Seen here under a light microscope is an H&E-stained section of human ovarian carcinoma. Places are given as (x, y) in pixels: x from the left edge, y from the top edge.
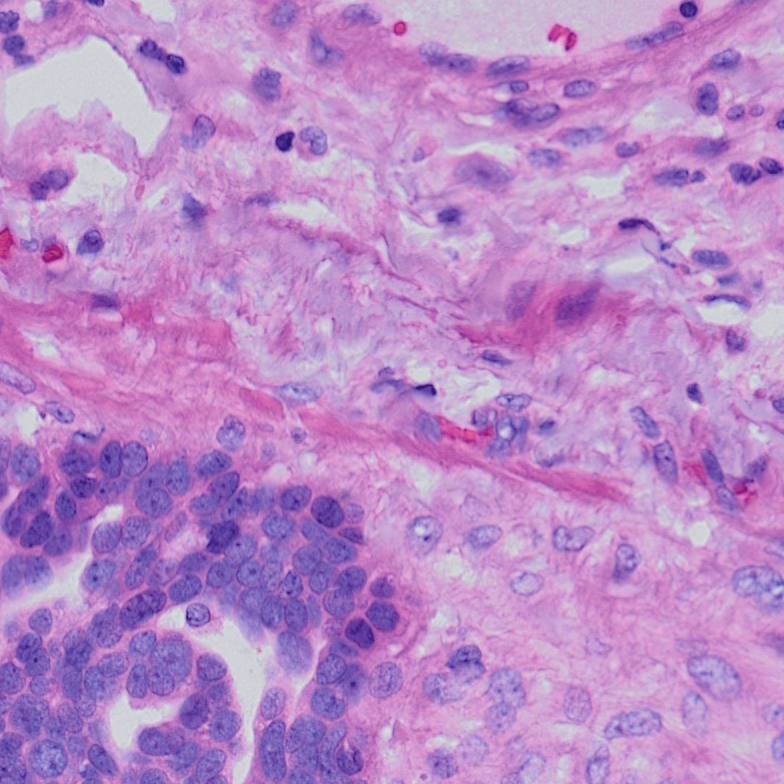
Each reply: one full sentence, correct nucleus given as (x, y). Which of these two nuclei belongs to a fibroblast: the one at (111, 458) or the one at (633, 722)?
Of the two, the nucleus lying at (633, 722) is the one belonging to a fibroblast.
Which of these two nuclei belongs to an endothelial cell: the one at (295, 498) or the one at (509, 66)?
Only the nucleus at (509, 66), of the two, belongs to an endothelial cell.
